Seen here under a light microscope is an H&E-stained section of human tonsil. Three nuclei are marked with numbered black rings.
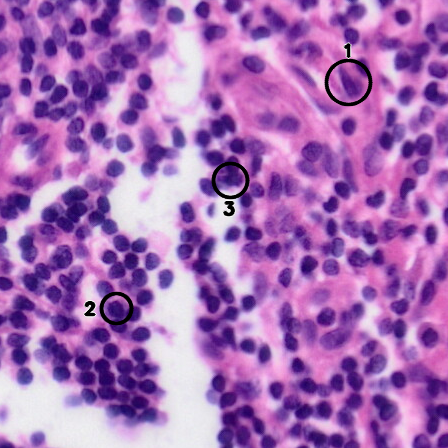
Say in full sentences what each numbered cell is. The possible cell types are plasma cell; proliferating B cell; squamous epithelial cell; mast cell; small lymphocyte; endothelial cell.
Cell 1 is an endothelial cell, cell 2 is a small lymphocyte and cell 3 is a small lymphocyte.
